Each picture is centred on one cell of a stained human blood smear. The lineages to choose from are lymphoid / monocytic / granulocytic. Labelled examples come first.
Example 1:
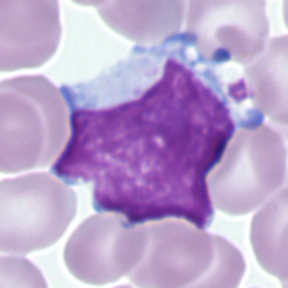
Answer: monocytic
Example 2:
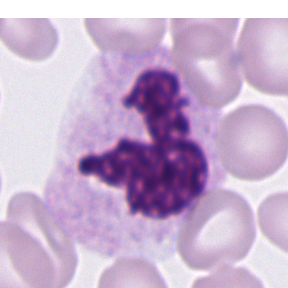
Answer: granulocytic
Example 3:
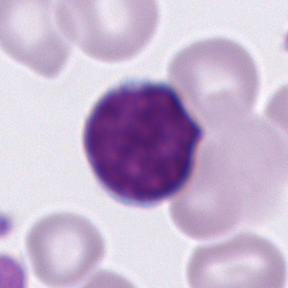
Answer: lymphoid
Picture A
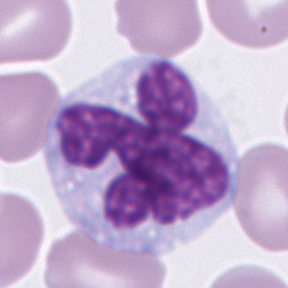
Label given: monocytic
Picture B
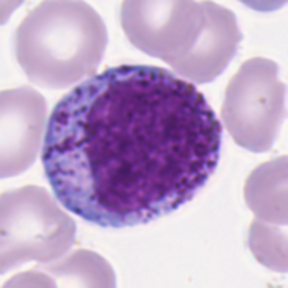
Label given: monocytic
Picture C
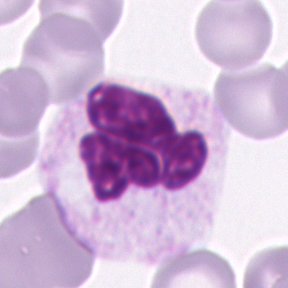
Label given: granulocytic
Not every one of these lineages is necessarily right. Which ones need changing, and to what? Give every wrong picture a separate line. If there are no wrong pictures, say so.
B: granulocytic, not monocytic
